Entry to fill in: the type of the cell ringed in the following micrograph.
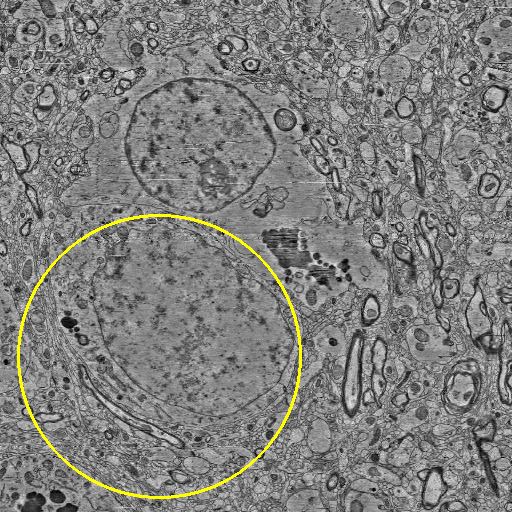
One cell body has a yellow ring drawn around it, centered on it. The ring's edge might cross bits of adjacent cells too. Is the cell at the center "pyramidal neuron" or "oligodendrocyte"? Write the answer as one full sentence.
This entry names a pyramidal neuron as the cell whose body lies at the ring's center.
